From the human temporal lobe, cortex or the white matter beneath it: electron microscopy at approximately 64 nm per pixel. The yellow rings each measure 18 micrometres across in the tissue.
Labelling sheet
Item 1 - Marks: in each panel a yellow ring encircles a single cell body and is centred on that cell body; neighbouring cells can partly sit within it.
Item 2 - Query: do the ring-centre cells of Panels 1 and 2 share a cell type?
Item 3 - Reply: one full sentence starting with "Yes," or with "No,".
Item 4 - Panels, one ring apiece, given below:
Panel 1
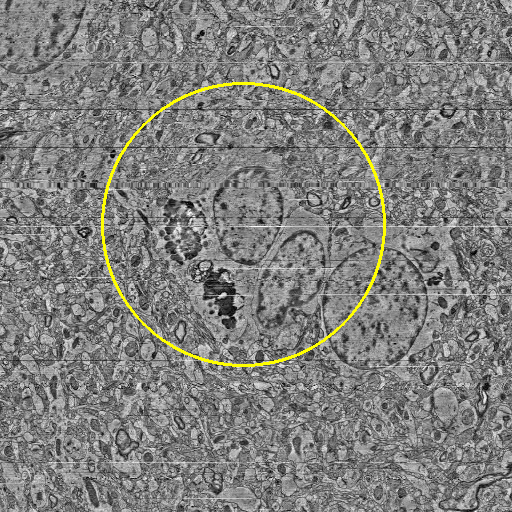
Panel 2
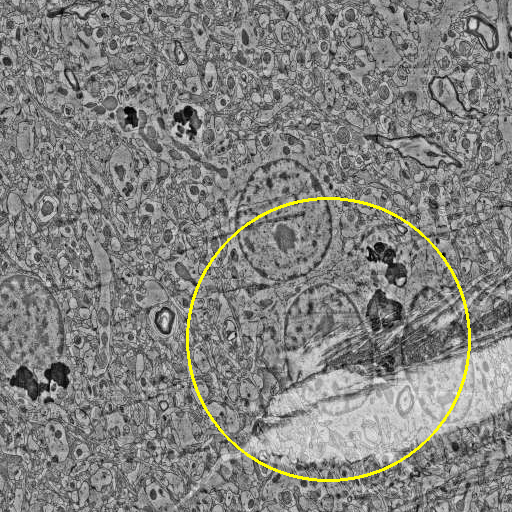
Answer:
Yes, Panel 1 and Panel 2 show one cell type at the centres of their rings.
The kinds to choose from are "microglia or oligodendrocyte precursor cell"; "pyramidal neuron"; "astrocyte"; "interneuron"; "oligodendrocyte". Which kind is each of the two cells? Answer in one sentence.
Each of the two rings is centred on an astrocyte.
